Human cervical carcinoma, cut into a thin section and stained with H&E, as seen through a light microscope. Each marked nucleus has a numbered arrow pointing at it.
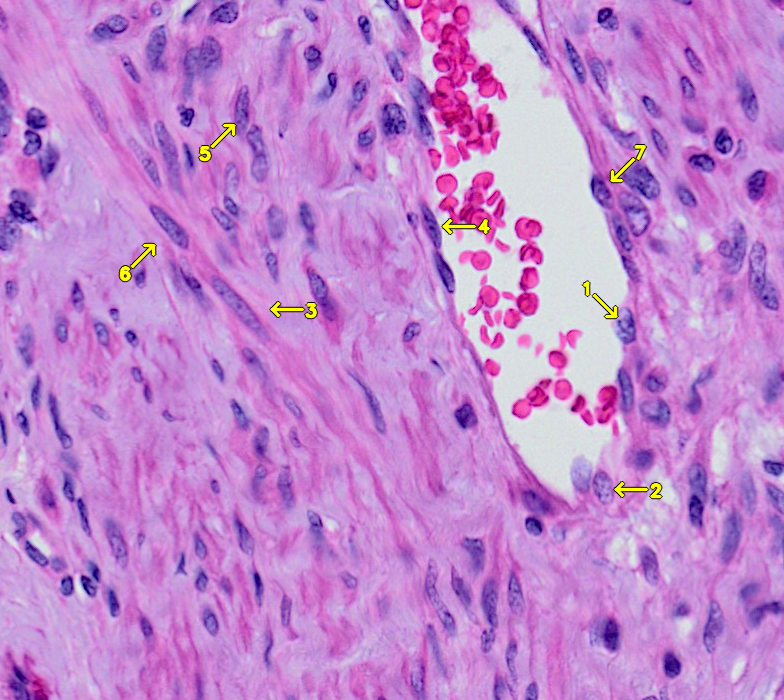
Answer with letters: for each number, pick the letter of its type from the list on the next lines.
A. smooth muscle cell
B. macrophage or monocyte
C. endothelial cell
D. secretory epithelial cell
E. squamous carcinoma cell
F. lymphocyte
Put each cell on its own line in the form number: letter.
1: C
2: C
3: A
4: C
5: A
6: A
7: C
